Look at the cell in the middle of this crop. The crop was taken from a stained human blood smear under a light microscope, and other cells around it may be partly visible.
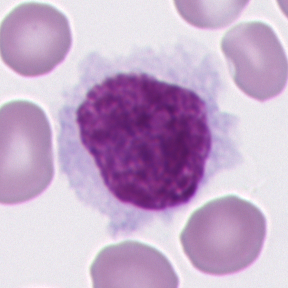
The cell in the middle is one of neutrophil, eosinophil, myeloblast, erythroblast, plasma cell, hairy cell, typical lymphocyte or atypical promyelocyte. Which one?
hairy cell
